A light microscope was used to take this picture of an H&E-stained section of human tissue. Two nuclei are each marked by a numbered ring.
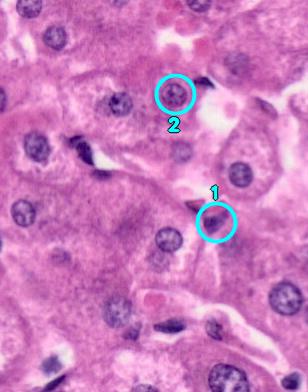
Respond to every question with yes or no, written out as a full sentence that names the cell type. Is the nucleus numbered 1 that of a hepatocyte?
No, a fibroblast or stellate cell is what cell 1 is, not a hepatocyte.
